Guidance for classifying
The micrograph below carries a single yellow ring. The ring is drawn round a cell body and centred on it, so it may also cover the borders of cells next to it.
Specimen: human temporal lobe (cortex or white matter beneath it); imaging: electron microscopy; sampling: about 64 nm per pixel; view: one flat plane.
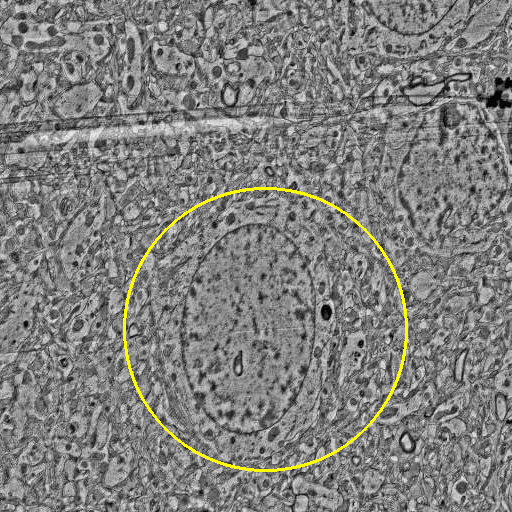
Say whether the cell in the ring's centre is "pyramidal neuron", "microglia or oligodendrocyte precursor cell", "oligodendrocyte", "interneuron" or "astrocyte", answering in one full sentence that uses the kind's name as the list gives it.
Within the yellow ring, a pyramidal neuron is the cell whose body sits at the centre.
